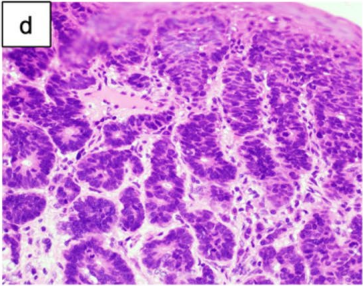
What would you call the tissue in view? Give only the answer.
Adenocarcinoma.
